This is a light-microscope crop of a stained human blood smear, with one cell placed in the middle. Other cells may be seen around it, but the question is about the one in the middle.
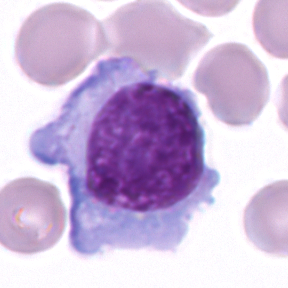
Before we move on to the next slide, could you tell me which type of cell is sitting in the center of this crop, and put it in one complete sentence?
In the centre of this crop there is a plasma cell.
